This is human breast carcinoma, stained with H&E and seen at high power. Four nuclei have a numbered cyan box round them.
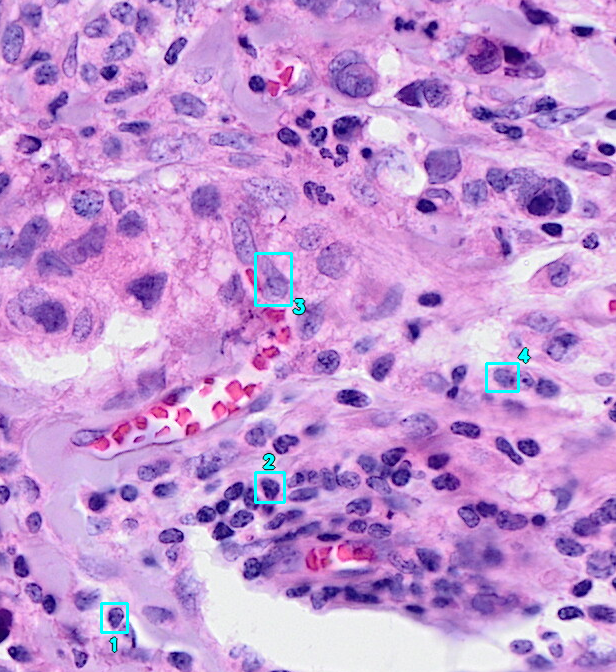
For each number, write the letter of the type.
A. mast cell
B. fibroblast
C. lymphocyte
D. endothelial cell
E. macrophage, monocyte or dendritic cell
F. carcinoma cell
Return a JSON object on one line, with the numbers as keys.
{"1": "C", "2": "C", "3": "D", "4": "A"}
